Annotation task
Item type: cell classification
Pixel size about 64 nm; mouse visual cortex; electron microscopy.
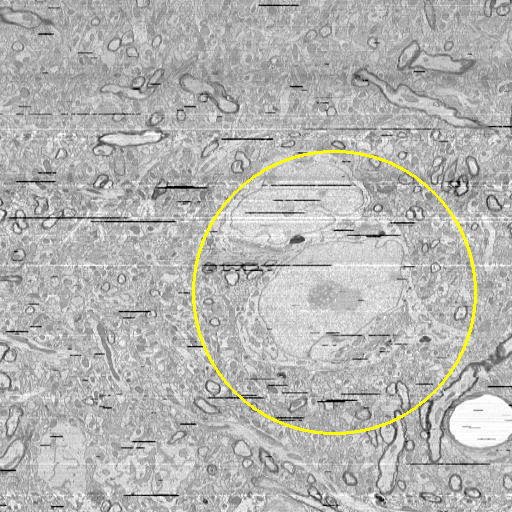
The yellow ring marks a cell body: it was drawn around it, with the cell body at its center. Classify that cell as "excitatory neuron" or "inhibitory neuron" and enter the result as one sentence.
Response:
The ring's center falls on an inhibitory neuron.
